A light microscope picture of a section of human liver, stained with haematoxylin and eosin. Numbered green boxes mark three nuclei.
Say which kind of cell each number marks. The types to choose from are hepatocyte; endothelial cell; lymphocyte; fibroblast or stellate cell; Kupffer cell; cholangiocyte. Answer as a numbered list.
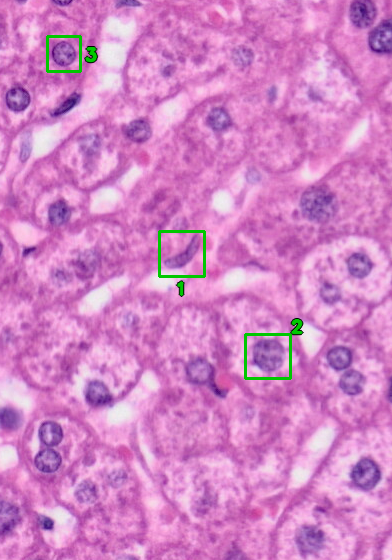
1. Kupffer cell
2. hepatocyte
3. hepatocyte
